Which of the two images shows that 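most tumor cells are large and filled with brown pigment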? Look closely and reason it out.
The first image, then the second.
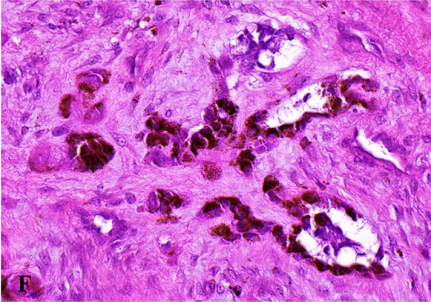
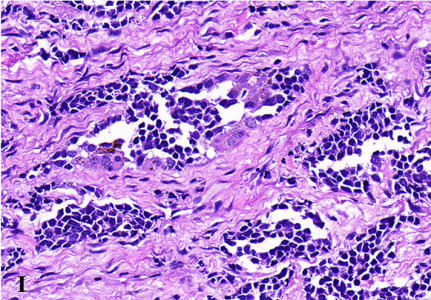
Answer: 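Second image: nests of small dark-nucleated cells with scant cytoplasm and hardly any brown pigment. First image: large cells packed with dark brown granules line small clefts. So: the first image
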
